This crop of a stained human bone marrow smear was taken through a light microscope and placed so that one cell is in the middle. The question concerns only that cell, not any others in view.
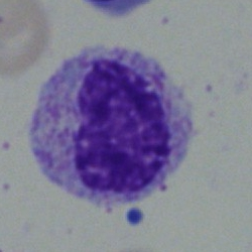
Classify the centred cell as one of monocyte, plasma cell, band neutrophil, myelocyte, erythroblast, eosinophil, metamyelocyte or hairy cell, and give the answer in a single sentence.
For this crop, the central cell is a metamyelocyte.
